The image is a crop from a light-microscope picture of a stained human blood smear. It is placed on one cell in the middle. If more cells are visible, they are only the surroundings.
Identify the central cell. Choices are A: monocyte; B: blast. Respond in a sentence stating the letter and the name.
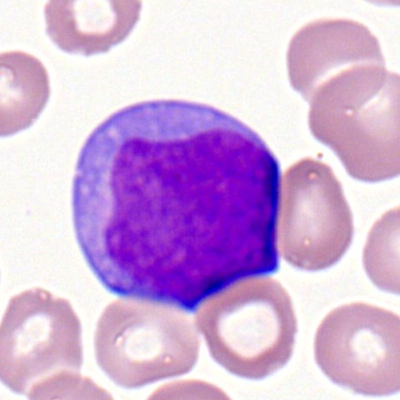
Given that the cell in the middle is a blast, option B is correct.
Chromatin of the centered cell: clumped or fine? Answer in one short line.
The chromatin remains finely textured, with no coarse clumps to speak of.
